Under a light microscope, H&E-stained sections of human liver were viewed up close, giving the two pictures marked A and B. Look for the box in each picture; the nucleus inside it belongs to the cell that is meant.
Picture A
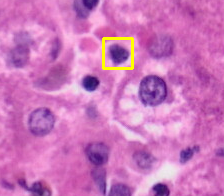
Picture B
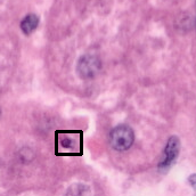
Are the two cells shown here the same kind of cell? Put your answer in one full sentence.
Yes, both cells are lymphocytes.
